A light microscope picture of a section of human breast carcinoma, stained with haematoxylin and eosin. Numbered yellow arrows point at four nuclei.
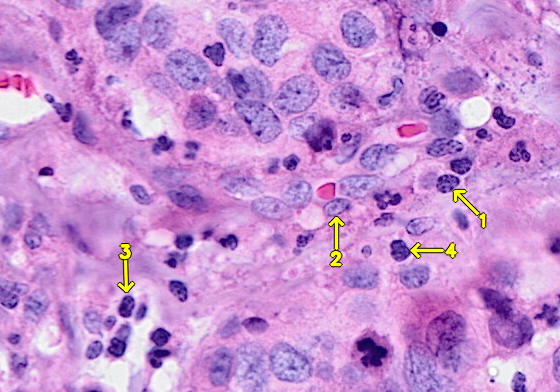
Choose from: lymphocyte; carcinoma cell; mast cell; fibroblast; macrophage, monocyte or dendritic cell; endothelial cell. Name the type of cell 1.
lymphocyte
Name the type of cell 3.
lymphocyte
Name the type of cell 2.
endothelial cell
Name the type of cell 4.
lymphocyte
